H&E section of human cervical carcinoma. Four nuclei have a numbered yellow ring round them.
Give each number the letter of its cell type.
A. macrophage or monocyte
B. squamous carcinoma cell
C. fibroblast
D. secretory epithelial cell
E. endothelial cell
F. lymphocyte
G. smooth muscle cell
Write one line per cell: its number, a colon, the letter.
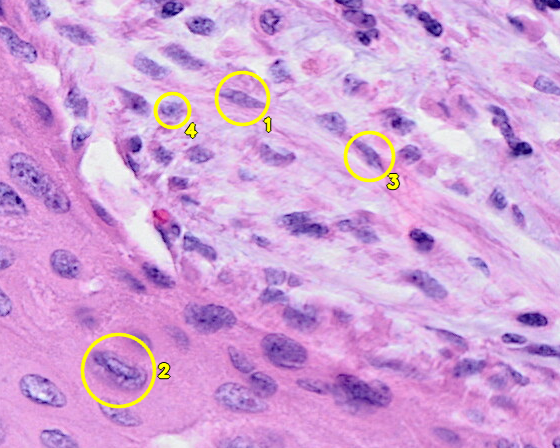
1: C
2: B
3: C
4: C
